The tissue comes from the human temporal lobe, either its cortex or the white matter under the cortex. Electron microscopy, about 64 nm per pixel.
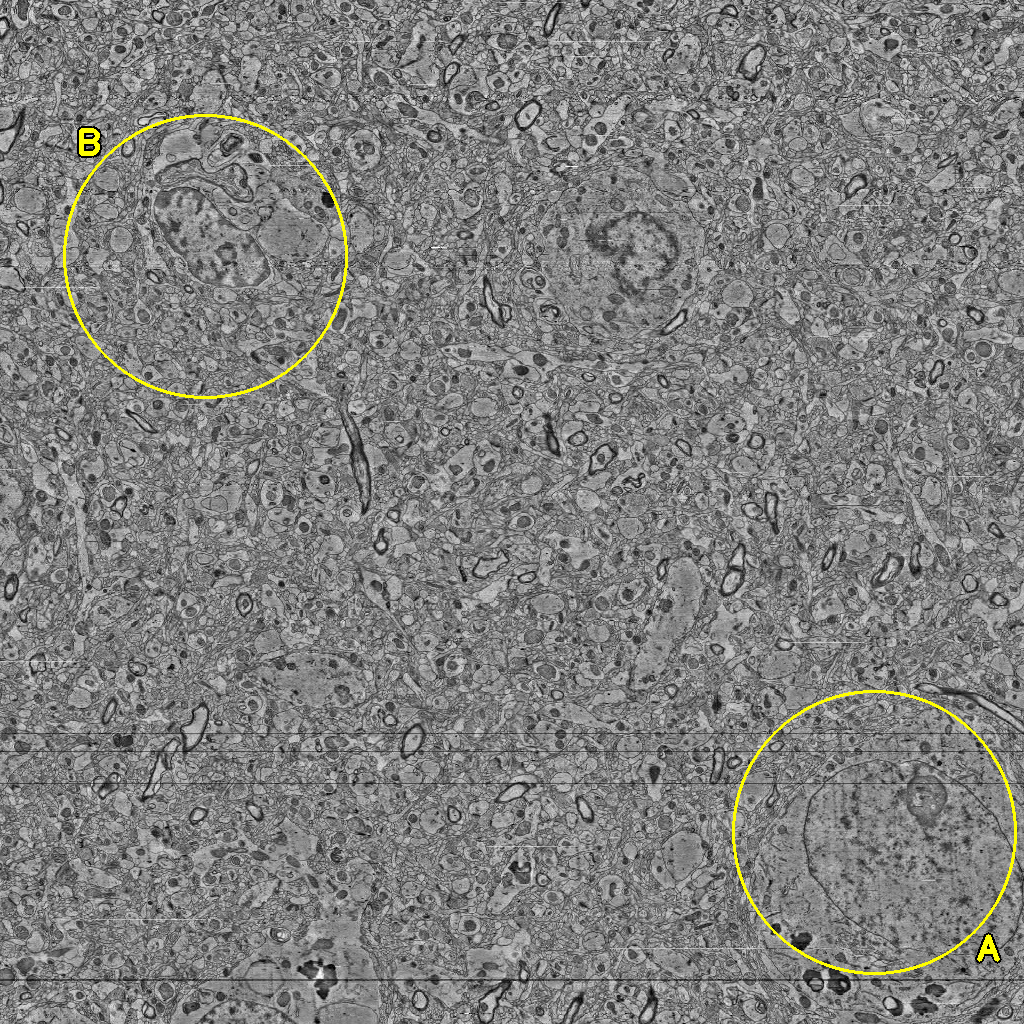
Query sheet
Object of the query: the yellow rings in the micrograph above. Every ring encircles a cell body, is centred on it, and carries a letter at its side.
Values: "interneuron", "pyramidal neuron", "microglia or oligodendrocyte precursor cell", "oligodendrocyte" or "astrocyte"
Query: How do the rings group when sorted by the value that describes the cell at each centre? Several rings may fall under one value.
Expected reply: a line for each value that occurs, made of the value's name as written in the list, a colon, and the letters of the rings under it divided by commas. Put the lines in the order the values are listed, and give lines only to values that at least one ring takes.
pyramidal neuron: A
microglia or oligodendrocyte precursor cell: B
